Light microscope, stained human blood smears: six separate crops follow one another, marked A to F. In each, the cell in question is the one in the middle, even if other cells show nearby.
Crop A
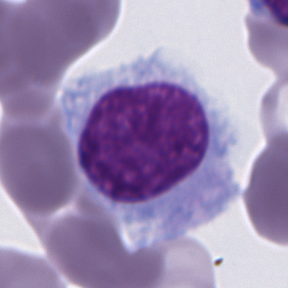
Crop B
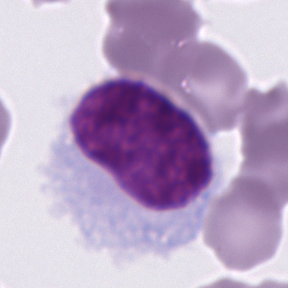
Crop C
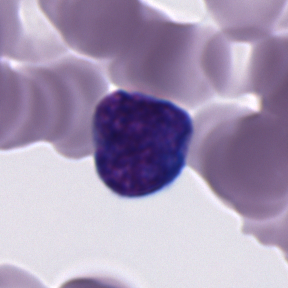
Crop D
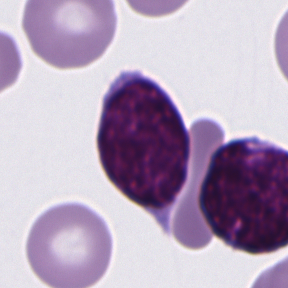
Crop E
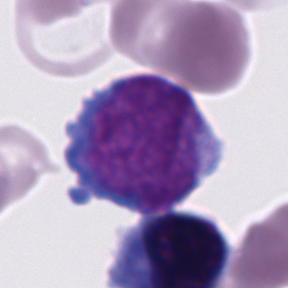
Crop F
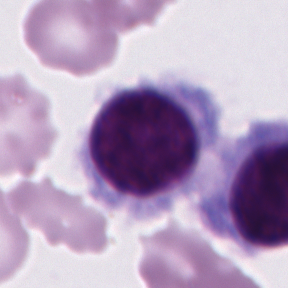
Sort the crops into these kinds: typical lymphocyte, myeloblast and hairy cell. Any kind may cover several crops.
A: hairy cell
B: hairy cell
C: typical lymphocyte
D: myeloblast
E: myeloblast
F: hairy cell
